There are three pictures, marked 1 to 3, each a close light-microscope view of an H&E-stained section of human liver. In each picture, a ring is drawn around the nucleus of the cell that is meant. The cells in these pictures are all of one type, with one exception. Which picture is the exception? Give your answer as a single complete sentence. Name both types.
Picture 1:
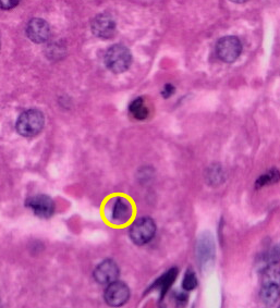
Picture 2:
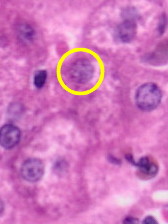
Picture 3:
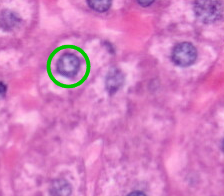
All pictures except 1 show hepatocytes; picture 1 shows a “fibroblast or stellate cell”.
